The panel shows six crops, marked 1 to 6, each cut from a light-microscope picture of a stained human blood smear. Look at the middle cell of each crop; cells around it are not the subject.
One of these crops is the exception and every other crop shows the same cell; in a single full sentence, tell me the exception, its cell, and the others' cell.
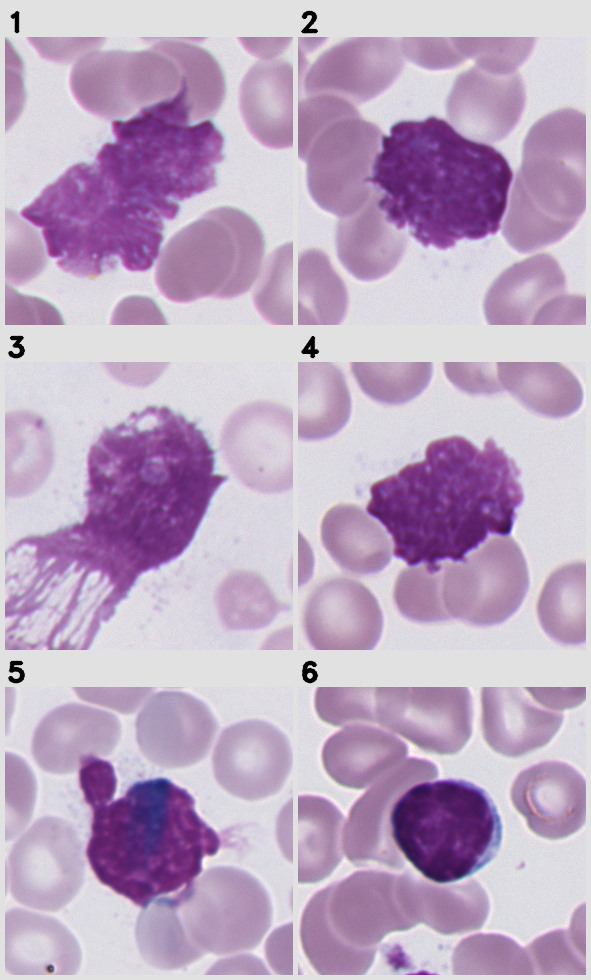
Shown in crop 6 is a typical lymphocyte, in contrast to the smudge cells of all the other crops.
